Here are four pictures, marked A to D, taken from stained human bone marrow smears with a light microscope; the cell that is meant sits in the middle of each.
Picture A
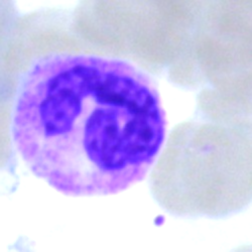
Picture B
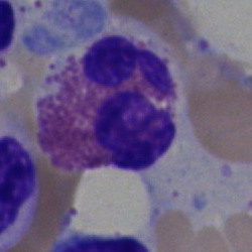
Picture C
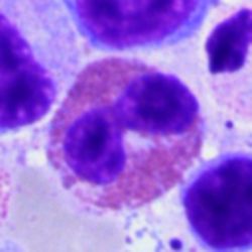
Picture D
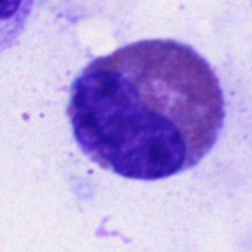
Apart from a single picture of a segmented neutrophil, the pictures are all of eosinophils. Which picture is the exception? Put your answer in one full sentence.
The picture with the segmented neutrophil is A.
